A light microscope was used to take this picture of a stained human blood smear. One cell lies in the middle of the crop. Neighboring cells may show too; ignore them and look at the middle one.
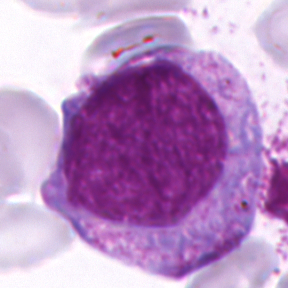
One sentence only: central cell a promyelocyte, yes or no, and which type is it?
Yes, the cell in the centre is a promyelocyte.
